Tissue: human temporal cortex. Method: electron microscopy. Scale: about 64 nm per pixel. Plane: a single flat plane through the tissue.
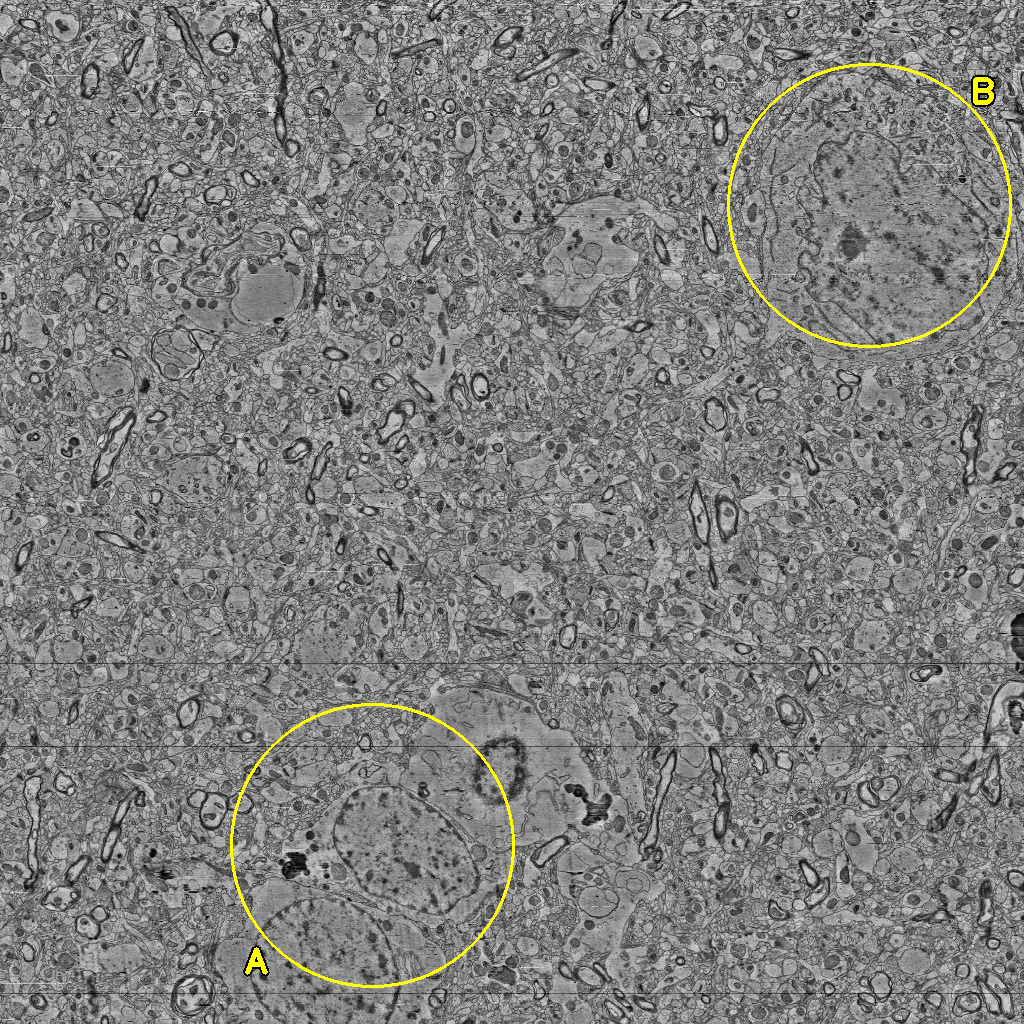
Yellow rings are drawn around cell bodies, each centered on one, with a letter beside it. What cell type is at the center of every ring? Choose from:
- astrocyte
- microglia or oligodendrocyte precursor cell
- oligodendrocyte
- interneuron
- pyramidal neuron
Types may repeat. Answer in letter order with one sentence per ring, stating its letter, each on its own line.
The cell at the center of ring A is an astrocyte.
The cell at the center of ring B is an interneuron.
